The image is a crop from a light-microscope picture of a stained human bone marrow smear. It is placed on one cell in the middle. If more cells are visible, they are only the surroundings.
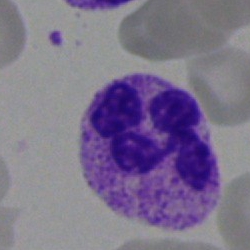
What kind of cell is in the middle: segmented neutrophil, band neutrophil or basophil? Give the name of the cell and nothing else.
segmented neutrophil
